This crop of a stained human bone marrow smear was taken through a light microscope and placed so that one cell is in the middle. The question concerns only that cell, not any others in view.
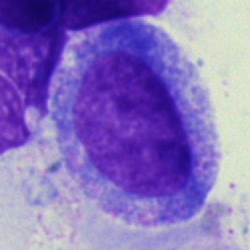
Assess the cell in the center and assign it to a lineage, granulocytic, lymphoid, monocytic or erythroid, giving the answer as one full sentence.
The lineage of the cell at the center of the crop is granulocytic.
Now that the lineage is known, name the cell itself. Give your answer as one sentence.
The centered cell in this crop is a promyelocyte.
